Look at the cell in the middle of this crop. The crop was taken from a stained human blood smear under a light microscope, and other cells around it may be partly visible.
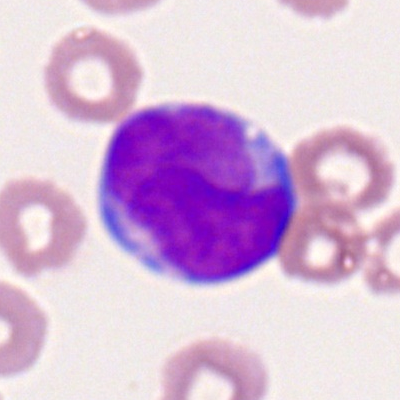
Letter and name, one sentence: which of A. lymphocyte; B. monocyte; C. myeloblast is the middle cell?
The one cell at the centre is a myeloblast, as correctly stated in option C.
